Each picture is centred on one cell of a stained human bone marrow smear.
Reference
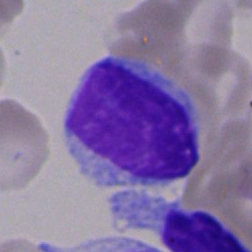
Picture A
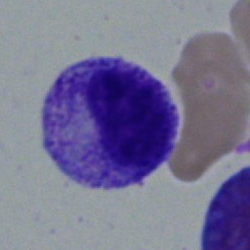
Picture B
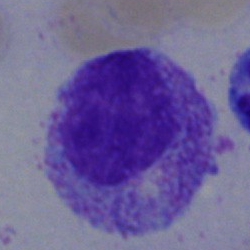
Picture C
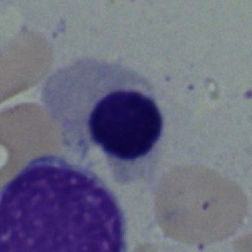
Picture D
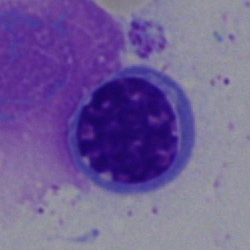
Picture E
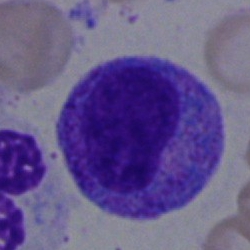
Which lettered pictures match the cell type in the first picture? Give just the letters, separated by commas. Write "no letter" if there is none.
no letter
